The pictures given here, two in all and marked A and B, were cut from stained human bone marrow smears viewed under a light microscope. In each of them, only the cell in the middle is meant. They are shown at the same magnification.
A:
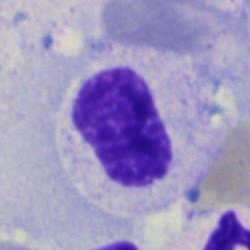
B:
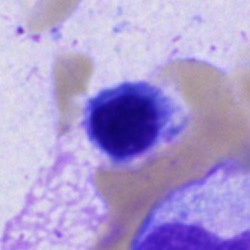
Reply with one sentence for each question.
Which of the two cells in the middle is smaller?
Picture B holds the smaller cell, since the cell in picture A covers about 2 times as much area.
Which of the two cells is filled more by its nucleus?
It is the cell in picture A that is filled more by its nucleus.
